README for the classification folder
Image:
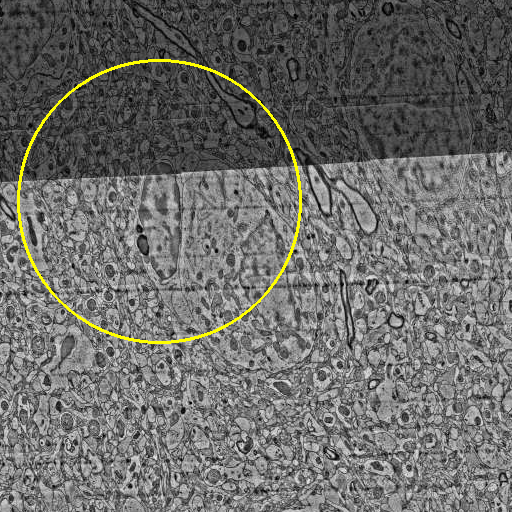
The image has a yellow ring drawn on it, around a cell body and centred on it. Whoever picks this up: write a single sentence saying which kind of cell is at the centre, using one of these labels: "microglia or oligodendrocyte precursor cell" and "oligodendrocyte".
This cell body is that of a microglial cell or oligodendrocyte precursor cell.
